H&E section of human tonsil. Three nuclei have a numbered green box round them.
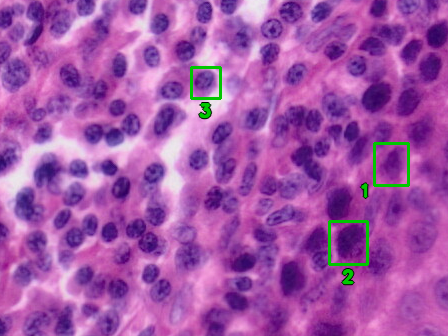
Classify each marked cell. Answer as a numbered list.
1. squamous epithelial cell
2. squamous epithelial cell
3. plasma cell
